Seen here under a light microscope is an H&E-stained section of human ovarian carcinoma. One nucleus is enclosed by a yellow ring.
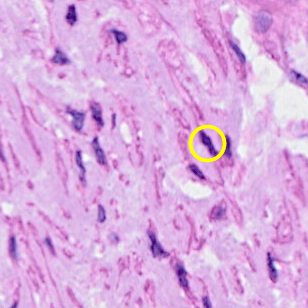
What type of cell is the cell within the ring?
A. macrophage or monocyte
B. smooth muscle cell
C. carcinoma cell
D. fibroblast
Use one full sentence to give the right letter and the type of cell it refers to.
Option D, identifying the cell within the ring as a fibroblast, is correct.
